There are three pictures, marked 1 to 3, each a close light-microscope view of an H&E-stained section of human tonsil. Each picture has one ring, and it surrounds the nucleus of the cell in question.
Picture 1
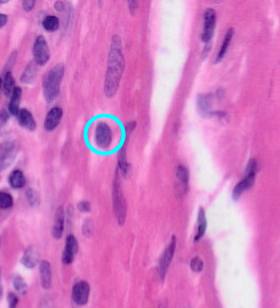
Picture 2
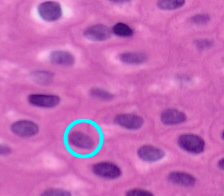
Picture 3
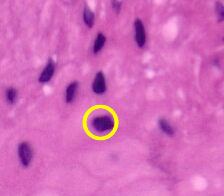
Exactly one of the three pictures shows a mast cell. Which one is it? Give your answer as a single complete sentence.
The picture with the mast cell is 1.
